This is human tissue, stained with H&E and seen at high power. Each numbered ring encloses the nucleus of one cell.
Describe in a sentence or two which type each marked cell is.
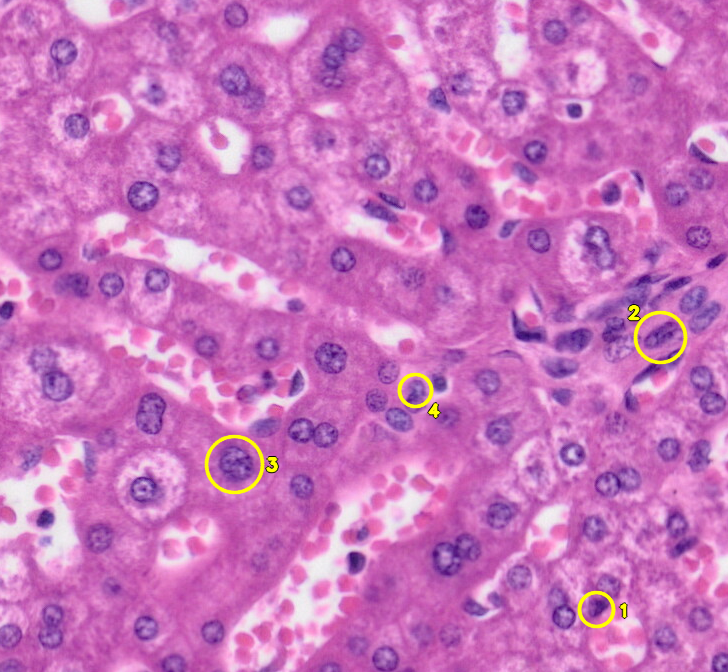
Cell 1 is a fibroblast or stellate cell. Cells 2 and 4 are cholangiocytes. Cell 3 is a hepatocyte.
